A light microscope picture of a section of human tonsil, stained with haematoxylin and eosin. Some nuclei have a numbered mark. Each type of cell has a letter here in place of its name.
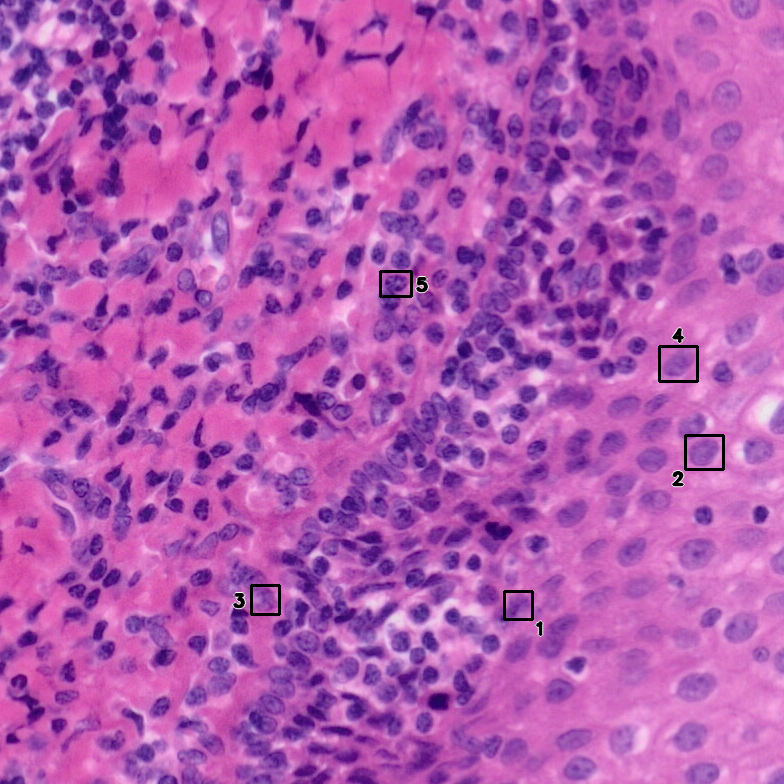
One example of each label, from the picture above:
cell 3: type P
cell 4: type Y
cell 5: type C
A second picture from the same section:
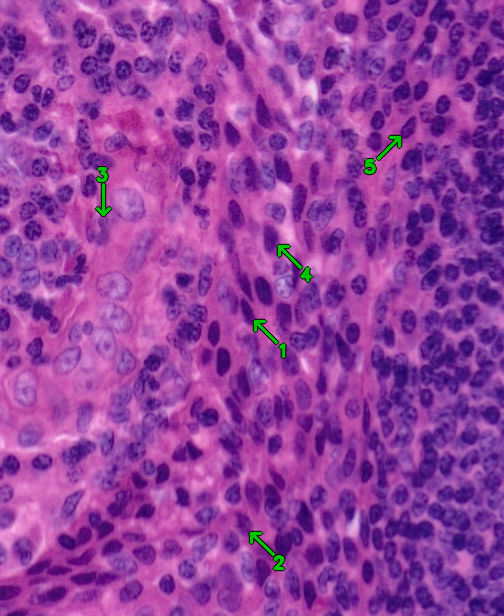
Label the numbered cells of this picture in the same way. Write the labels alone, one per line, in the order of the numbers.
type Y
type Y
type P
type Y
type C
